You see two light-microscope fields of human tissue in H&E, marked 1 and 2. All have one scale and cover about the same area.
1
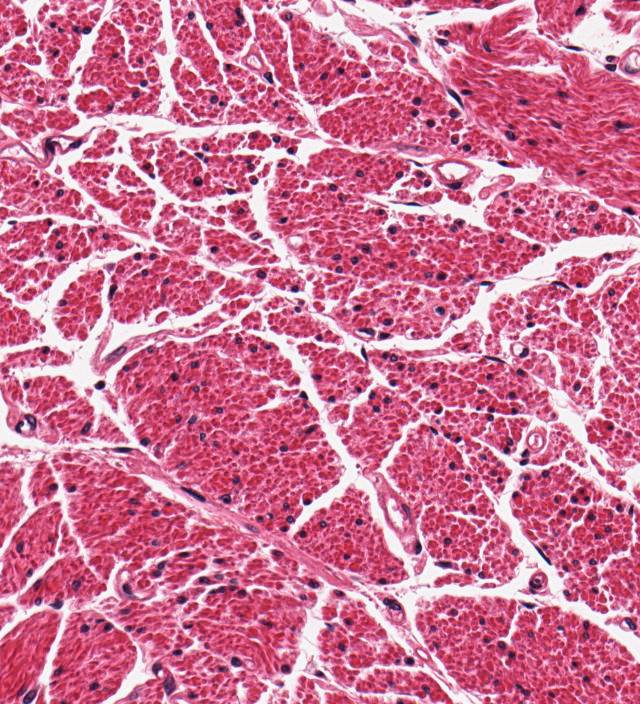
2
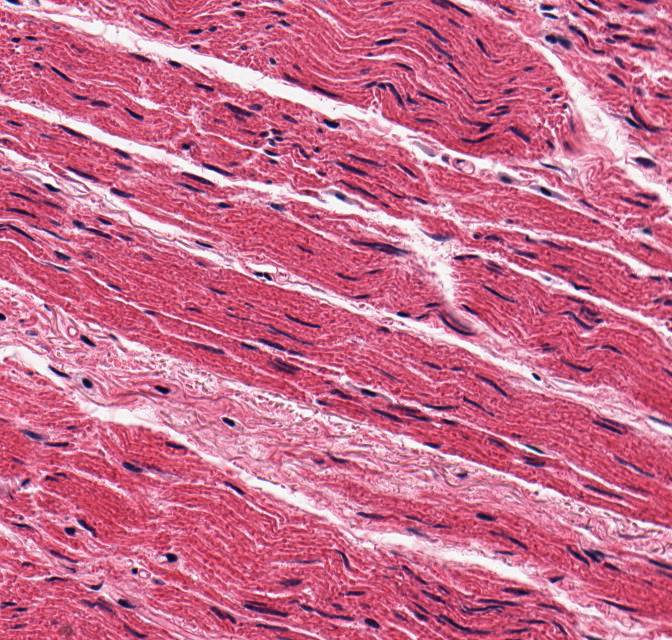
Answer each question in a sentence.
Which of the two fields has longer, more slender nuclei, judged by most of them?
It is picture 2 whose nuclei are the more elongated.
